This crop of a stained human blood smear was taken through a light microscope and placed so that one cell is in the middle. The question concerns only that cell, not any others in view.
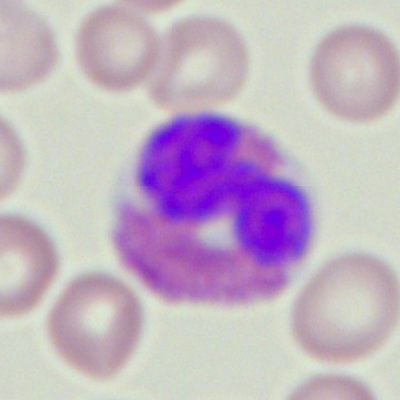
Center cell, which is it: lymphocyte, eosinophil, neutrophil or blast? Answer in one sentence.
The middle of this crop holds an eosinophil.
